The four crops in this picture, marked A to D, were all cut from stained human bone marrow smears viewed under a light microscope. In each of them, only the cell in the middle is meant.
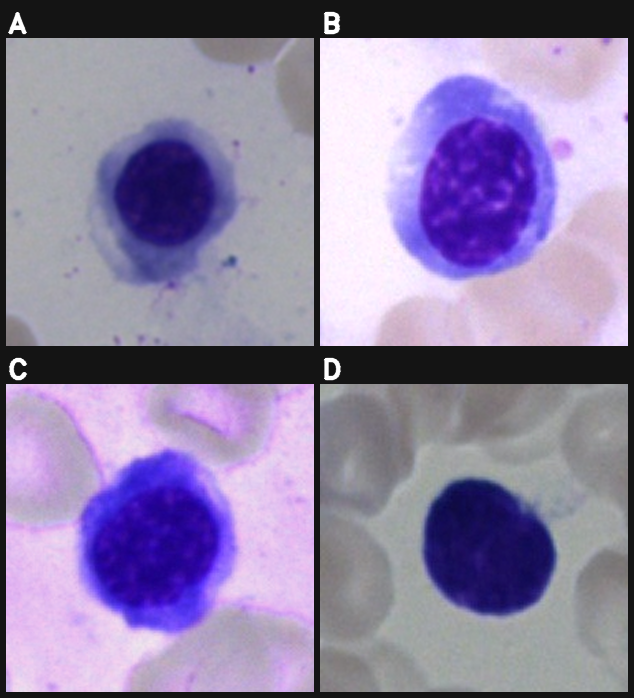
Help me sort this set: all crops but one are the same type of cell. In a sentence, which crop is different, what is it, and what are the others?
Crop D differs from its companions, showing a lymphocyte where they show normoblasts.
